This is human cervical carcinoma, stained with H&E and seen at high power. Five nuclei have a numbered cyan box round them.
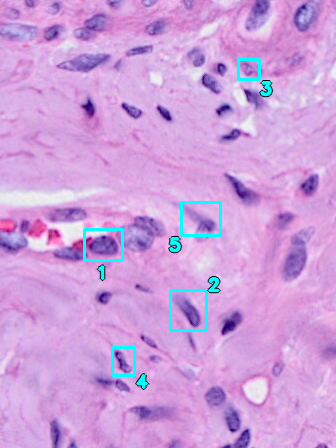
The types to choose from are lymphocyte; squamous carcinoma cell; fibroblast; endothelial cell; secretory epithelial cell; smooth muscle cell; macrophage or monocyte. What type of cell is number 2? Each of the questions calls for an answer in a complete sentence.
The numeral 2 marks a fibroblast in this section.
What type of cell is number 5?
Numbered cell 5 is a fibroblast in this tissue section.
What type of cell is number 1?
Regarding cell 1, this one is an endothelial cell.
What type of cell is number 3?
As for number 3, that cell is a smooth muscle cell.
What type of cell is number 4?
Heads up, the cell numbered 4 is a fibroblast.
